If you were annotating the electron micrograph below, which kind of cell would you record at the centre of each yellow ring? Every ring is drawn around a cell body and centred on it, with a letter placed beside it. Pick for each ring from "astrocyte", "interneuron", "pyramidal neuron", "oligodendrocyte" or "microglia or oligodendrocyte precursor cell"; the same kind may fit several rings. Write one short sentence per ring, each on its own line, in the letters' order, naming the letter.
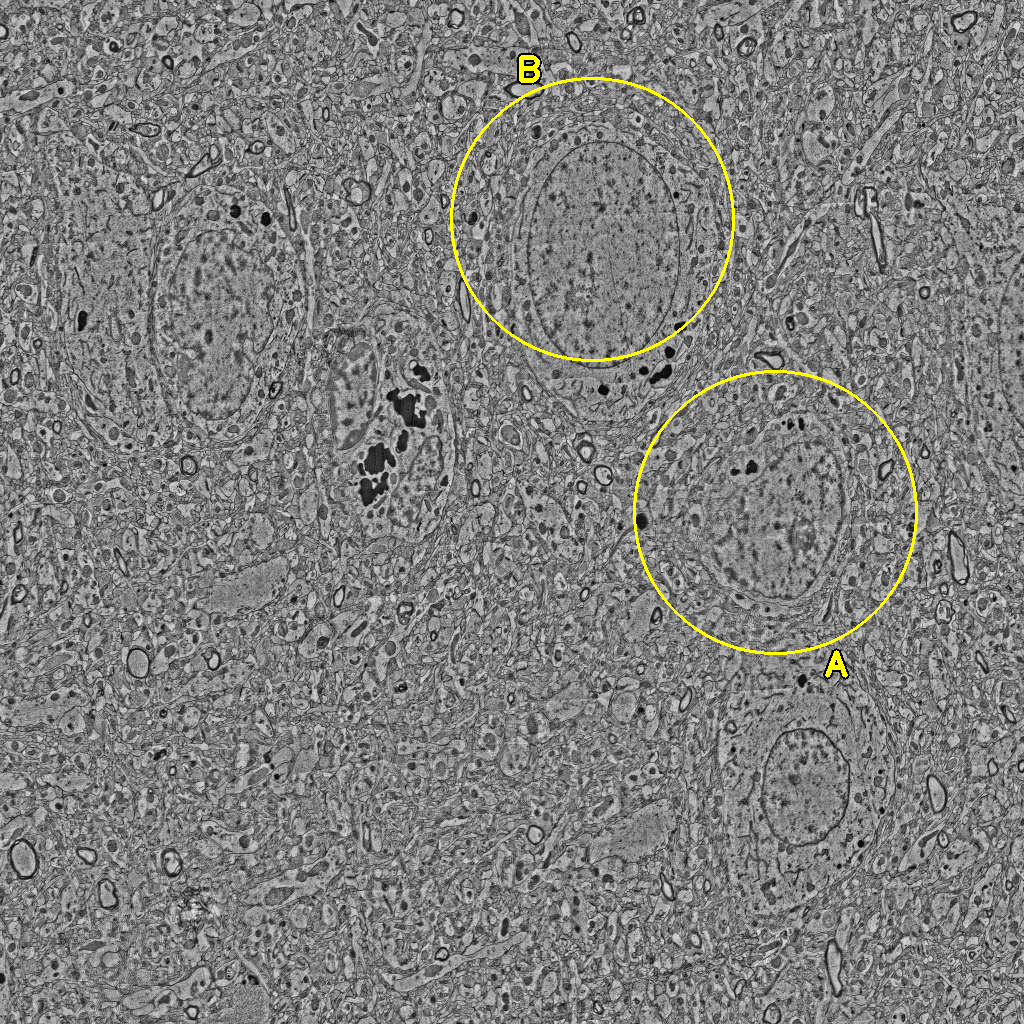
For ring A, I would record an interneuron.
For ring B, I would record a pyramidal neuron.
